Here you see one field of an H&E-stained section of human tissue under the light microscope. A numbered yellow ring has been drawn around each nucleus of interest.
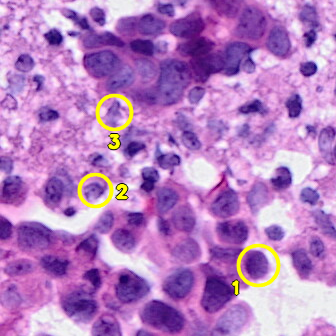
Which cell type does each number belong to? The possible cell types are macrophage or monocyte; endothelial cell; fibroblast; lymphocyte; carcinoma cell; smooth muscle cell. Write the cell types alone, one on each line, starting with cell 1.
carcinoma cell
macrophage or monocyte
macrophage or monocyte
